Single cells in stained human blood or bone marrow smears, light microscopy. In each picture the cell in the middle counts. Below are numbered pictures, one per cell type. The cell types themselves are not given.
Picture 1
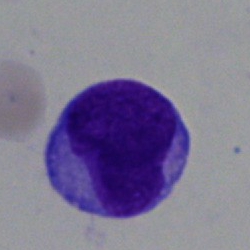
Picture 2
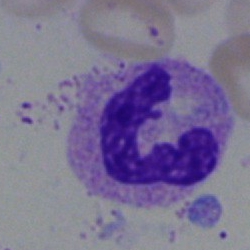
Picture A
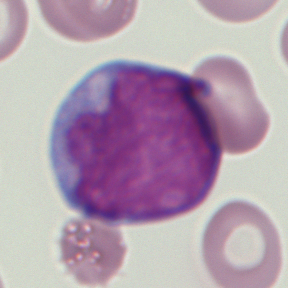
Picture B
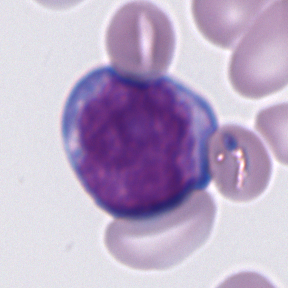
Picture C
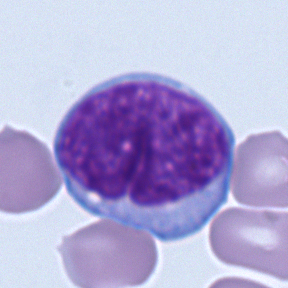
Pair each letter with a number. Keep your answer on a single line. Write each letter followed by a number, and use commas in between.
A 1, B 1, C 1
